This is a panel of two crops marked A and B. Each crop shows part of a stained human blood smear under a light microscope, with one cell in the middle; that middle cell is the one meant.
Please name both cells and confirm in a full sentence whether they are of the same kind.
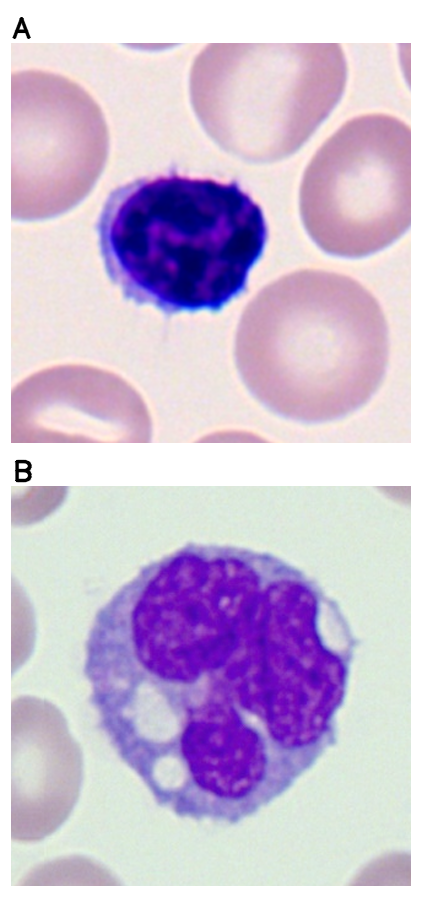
No, shown in crop A is a lymphocyte, and shown in crop B is a monocyte.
